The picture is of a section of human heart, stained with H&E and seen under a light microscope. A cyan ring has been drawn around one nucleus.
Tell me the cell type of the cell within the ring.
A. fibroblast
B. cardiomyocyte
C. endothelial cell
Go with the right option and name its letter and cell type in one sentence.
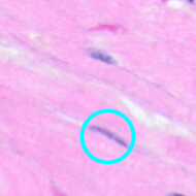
Option C names the cell within the ring correctly as an endothelial cell.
